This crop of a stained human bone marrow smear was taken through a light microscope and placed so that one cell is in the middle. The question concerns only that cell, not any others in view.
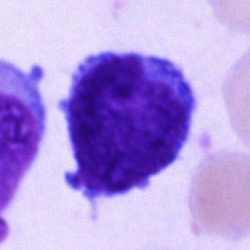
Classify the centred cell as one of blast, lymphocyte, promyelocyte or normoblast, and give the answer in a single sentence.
In the center of this field lies a blast.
